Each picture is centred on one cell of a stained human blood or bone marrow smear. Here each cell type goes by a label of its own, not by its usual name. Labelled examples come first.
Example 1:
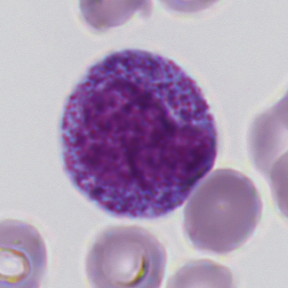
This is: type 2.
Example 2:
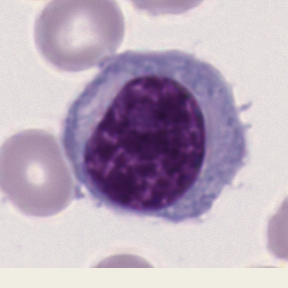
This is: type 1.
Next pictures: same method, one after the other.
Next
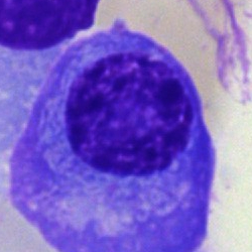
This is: type 1.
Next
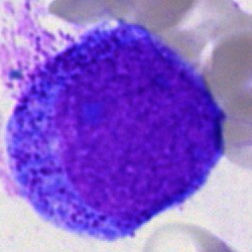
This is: type 2.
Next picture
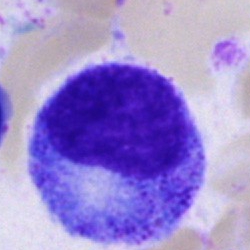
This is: type 2.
